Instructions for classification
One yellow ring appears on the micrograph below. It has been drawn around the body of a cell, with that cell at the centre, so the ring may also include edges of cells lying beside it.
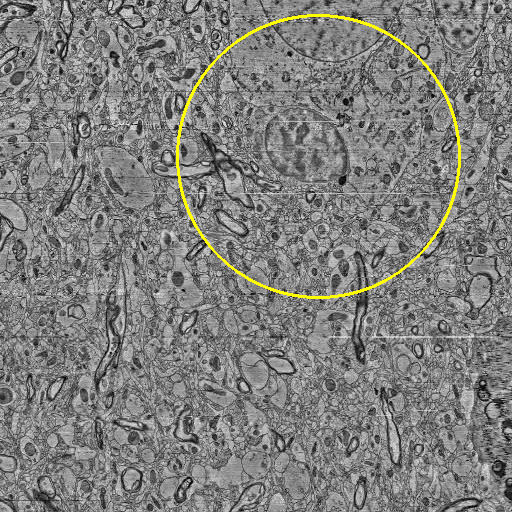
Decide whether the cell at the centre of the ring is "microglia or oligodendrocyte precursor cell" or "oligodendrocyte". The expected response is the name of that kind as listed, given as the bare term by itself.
oligodendrocyte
